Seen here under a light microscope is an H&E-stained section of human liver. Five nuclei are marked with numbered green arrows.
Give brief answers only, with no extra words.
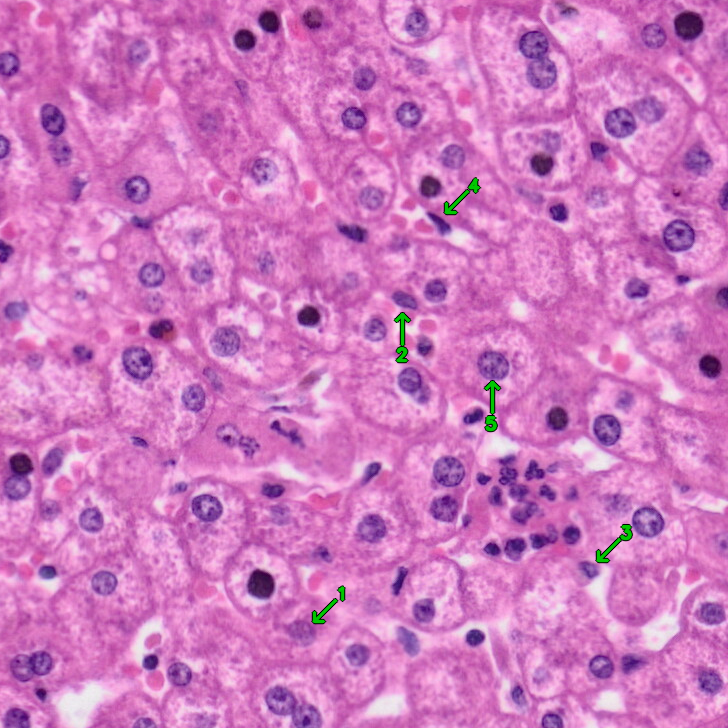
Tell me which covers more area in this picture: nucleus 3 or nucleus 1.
1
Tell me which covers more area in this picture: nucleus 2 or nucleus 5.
5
